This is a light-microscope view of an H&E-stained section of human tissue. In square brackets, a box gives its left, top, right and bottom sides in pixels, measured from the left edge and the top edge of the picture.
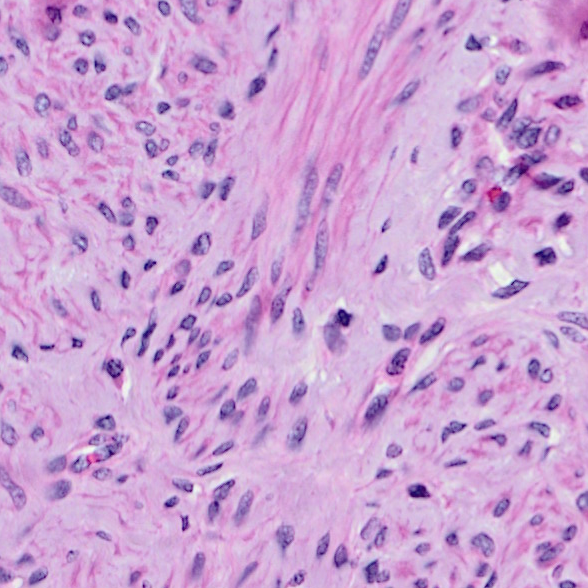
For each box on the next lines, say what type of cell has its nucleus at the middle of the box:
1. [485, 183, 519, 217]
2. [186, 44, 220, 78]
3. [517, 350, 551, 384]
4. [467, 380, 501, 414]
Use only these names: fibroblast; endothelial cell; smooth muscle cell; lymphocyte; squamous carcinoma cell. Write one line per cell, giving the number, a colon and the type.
1: endothelial cell
2: smooth muscle cell
3: smooth muscle cell
4: smooth muscle cell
